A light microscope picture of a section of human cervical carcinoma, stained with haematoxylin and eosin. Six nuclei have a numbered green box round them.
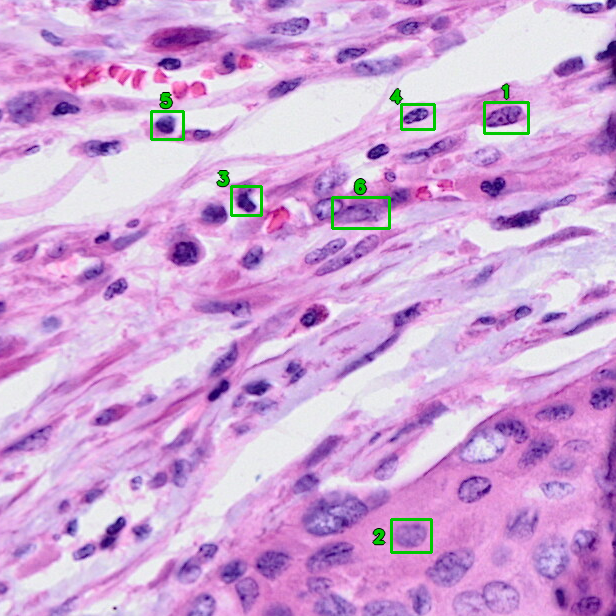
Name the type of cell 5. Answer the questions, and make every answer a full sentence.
The cell tagged with 5 in this tissue section is a lymphocyte.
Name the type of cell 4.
Cell 4 in the field of view is a lymphocyte.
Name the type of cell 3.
It is as a lymphocyte that the cell numbered 3 is identified.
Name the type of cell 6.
The cell marked with the number 6 is an endothelial cell.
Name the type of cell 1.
The cell pointed out by number 1 is a macrophage or monocyte.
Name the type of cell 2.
Heads up, the cell numbered 2 is a squamous carcinoma cell.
